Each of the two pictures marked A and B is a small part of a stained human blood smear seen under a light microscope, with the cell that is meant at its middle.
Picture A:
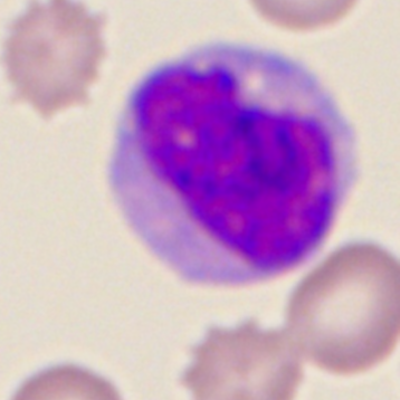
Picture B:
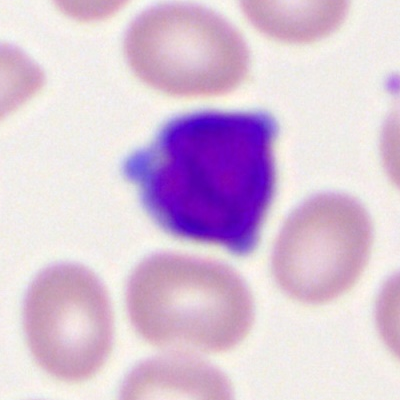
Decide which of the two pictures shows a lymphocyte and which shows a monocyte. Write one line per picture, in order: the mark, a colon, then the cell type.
A: monocyte
B: lymphocyte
